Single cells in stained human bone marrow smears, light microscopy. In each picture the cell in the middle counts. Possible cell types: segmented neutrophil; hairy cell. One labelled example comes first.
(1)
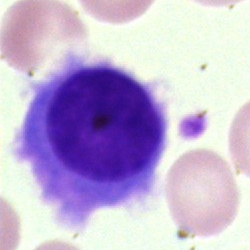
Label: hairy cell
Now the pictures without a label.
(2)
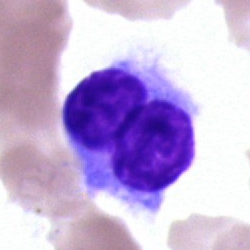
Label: hairy cell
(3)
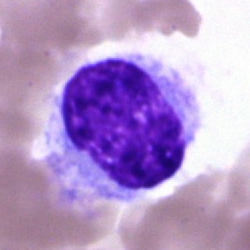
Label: hairy cell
